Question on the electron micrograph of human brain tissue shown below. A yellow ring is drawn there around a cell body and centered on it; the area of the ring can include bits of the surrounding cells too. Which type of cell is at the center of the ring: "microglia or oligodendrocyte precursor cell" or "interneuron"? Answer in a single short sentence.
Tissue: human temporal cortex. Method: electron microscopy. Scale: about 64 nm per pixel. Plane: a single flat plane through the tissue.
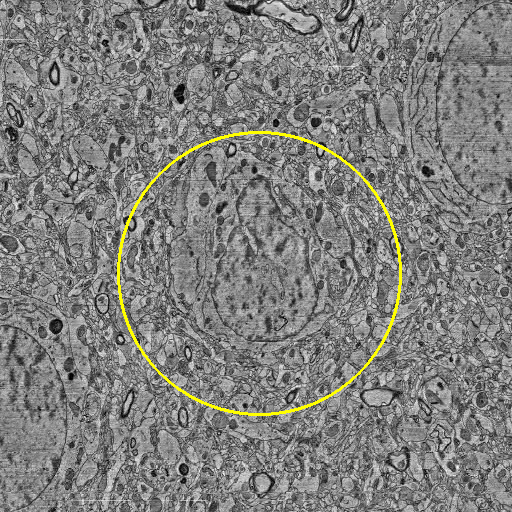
The ring is centered on an interneuron.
